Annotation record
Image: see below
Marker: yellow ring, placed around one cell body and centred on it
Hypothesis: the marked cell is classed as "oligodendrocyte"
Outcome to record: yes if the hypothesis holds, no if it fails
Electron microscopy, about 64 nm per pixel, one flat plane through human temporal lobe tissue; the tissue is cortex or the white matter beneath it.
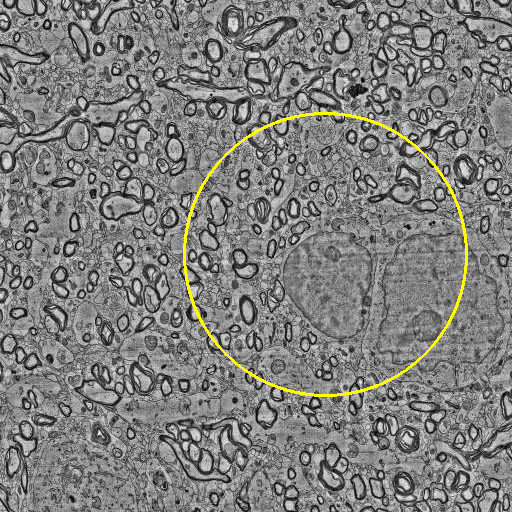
yes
